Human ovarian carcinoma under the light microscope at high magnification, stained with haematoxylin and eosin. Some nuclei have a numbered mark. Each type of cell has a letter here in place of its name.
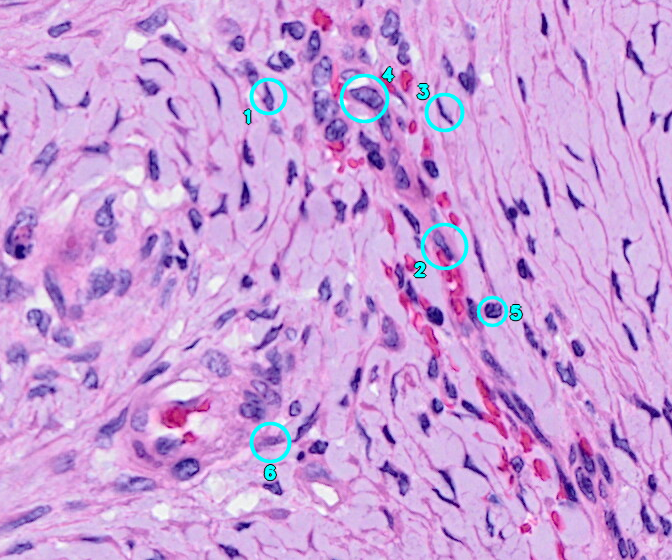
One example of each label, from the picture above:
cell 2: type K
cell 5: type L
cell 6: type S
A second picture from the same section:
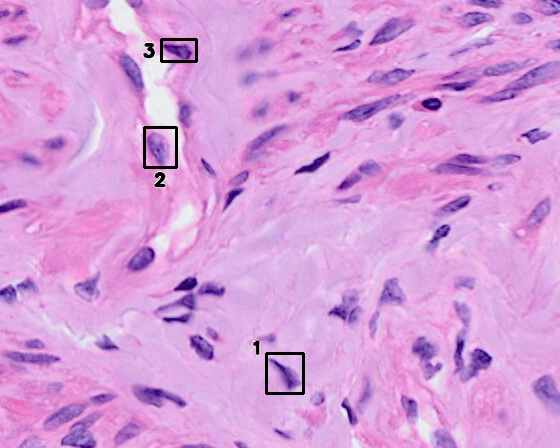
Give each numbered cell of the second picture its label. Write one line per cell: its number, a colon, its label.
1: type S
2: type K
3: type K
